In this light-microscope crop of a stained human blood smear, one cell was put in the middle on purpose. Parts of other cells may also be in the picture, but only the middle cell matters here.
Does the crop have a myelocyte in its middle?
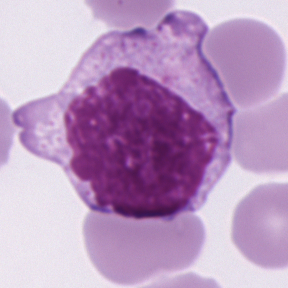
yes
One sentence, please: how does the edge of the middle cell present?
Irregular rather than smooth, the cell margin shows ragged areas or projections.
